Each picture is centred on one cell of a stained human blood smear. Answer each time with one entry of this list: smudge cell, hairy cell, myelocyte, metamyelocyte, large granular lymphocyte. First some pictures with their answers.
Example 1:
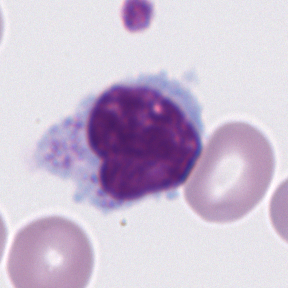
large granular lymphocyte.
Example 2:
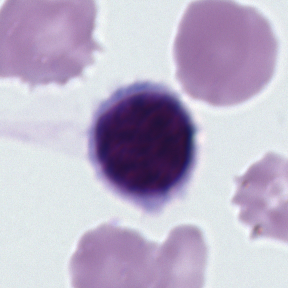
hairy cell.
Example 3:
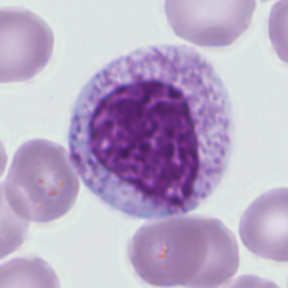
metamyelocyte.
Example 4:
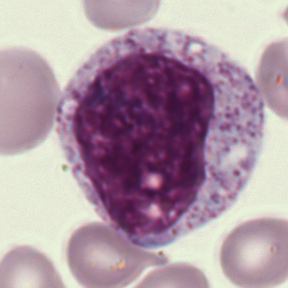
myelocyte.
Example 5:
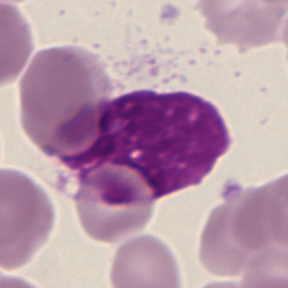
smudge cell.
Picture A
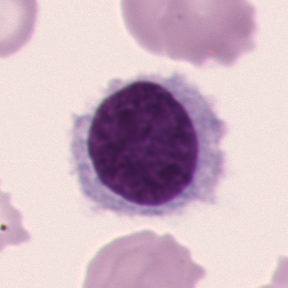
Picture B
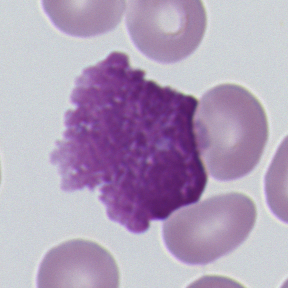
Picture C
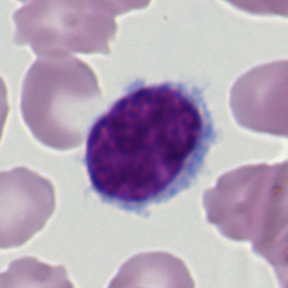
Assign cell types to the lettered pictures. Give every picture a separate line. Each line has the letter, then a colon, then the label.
A: hairy cell.
B: smudge cell.
C: hairy cell.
